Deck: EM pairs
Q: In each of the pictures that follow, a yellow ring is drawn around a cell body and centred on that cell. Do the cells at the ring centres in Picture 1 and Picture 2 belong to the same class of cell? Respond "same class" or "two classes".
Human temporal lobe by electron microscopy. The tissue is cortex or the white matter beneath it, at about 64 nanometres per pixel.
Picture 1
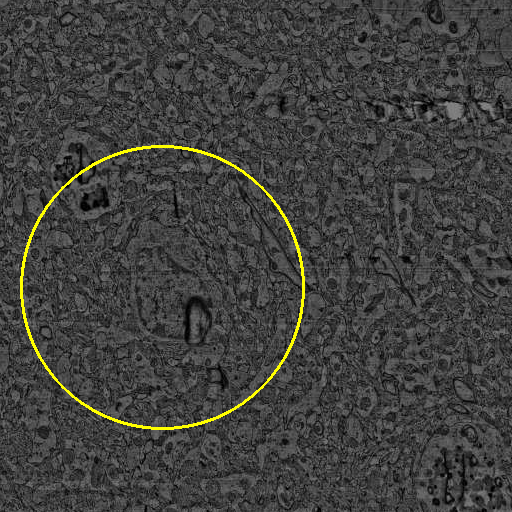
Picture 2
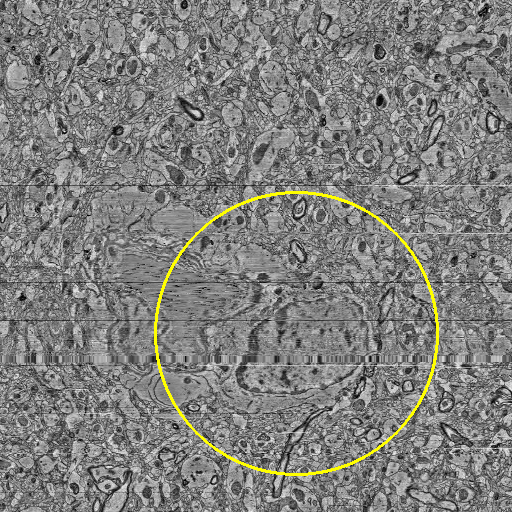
same class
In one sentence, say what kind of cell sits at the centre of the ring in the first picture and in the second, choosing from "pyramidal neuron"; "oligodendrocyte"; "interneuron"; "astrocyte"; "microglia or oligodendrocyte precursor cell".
Each of the two pictures has a microglial cell or oligodendrocyte precursor cell at the ring centre.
